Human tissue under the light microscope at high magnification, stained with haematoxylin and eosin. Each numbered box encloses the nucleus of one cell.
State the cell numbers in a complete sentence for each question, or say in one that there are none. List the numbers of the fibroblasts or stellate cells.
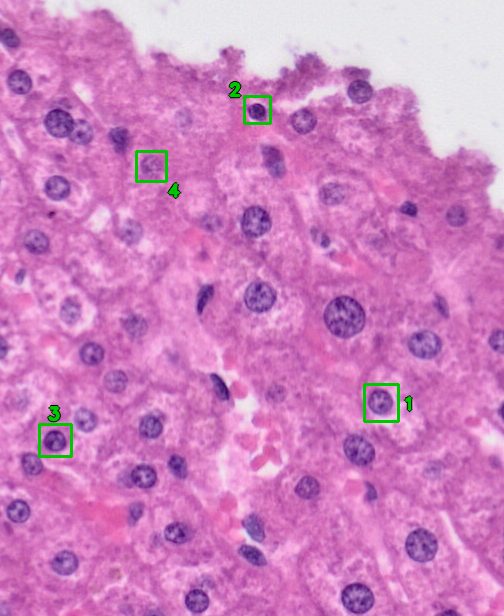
The numbered set holds no fibroblasts or stellate cells whatsoever.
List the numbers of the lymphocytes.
Cell 2 is the one numbered cell that is a lymphocyte.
